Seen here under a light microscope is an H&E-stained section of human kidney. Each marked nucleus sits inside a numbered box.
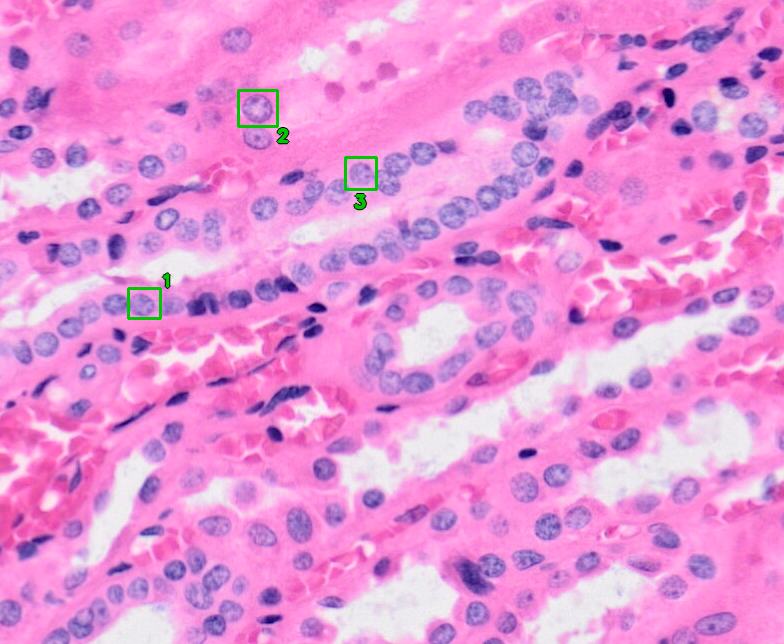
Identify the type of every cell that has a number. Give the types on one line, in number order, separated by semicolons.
collecting duct cell; proximal tubule cell; collecting duct cell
